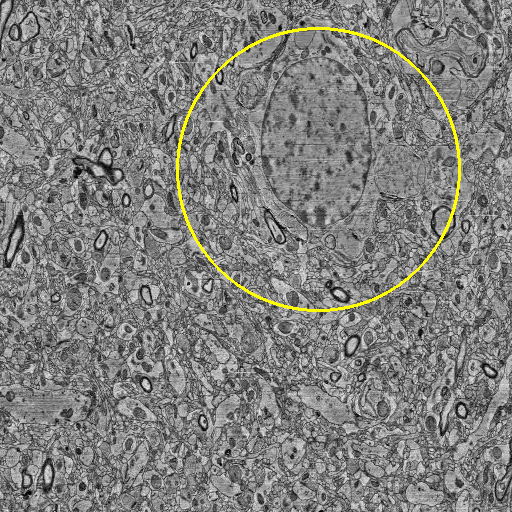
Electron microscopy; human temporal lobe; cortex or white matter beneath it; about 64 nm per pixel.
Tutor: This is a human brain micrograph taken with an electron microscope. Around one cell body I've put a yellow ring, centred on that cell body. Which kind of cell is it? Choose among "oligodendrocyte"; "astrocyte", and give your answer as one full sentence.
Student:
Going by your list, the cell centred in the yellow ring is an astrocyte.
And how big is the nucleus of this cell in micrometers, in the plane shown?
Roughly 11 by 7 micrometres; in this plane, clearly longer than it is wide.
